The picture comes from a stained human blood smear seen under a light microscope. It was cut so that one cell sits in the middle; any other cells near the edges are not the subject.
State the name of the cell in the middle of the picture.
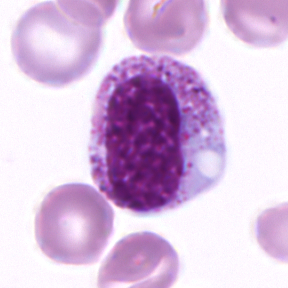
metamyelocyte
